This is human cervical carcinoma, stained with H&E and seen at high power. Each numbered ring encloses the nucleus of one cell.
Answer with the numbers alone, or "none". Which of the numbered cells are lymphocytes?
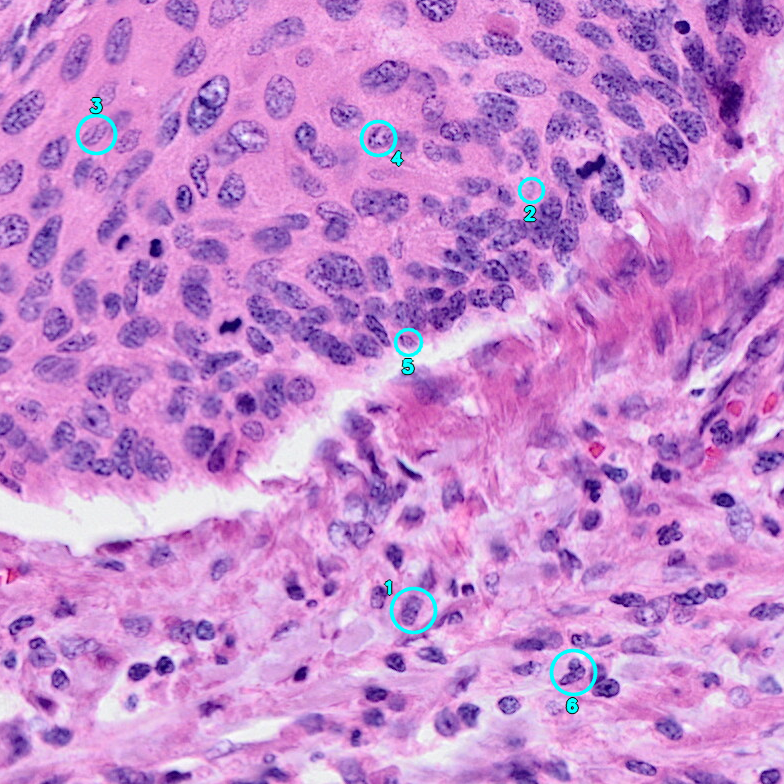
6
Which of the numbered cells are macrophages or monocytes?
1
